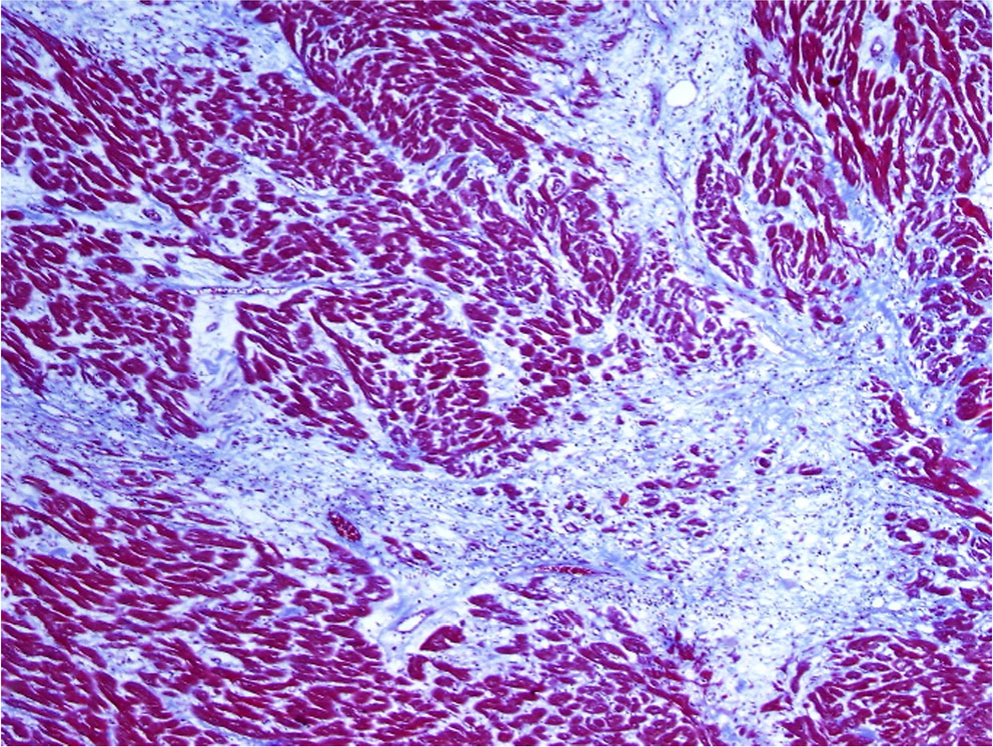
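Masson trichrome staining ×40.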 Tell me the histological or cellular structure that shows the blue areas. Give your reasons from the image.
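Blue-staining loose fibrous tissue forms irregular bands that branch between muscle bundles. The blue bands run out in several directions from a central broad zone. Red-staining muscle fibres are absent or only scattered within the blue zones. That points to this answer: stellate fibrous scar.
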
